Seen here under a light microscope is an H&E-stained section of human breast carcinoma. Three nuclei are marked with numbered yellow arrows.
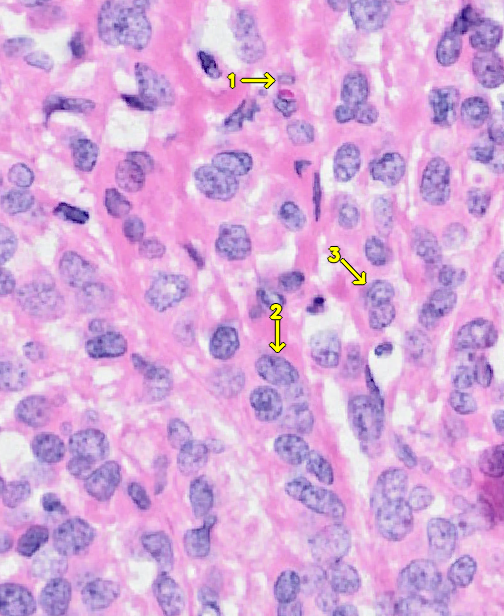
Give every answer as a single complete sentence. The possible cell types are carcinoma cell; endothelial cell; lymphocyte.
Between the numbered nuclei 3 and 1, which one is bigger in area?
It is nucleus 3, which covers about 4 times the area of nucleus 1.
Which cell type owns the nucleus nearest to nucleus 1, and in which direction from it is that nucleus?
The nearest one is an endothelial cell, found below nucleus 1.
